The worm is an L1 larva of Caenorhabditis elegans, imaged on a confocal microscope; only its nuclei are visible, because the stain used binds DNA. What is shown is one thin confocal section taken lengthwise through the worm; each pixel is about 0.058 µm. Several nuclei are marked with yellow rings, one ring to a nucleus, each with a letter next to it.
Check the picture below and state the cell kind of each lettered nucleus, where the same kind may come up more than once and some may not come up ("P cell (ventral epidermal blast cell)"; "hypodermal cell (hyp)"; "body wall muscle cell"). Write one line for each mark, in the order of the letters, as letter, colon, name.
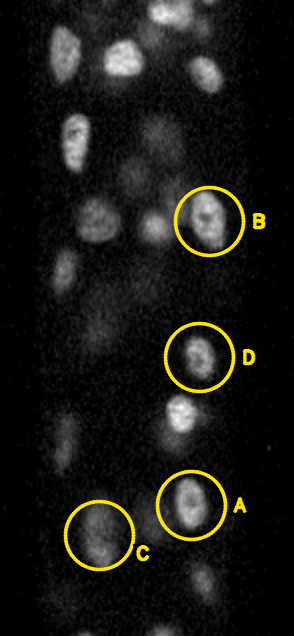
A: body wall muscle cell
B: body wall muscle cell
C: hypodermal cell (hyp)
D: body wall muscle cell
